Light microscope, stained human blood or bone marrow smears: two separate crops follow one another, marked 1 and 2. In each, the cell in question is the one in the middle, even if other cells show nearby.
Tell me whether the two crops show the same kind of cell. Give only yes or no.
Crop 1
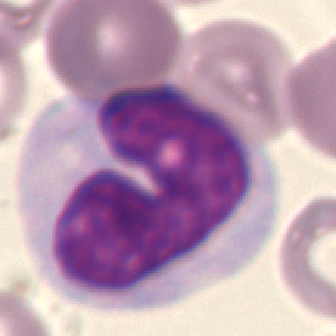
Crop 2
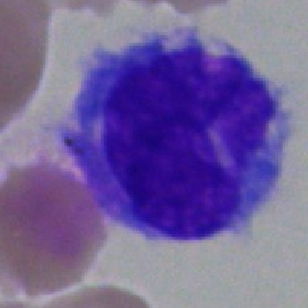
no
